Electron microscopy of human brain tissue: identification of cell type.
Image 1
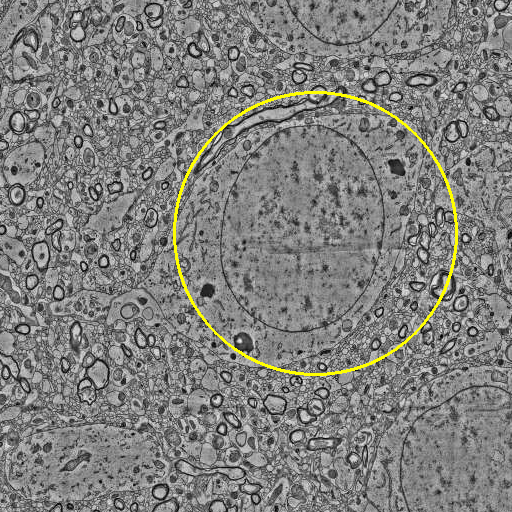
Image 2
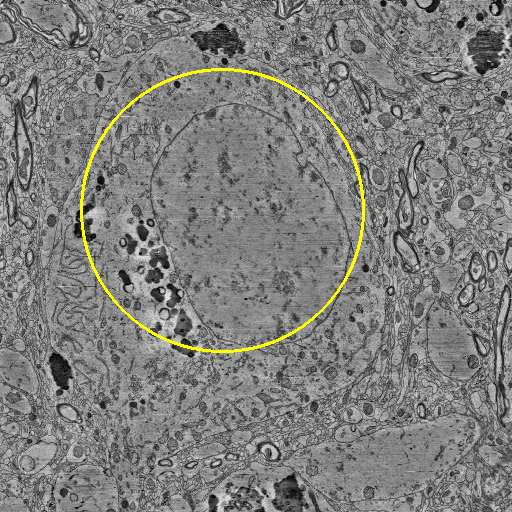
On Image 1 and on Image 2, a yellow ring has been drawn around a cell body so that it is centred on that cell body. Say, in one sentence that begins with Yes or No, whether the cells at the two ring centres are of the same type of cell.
Yes, both cells are the same type of cell.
